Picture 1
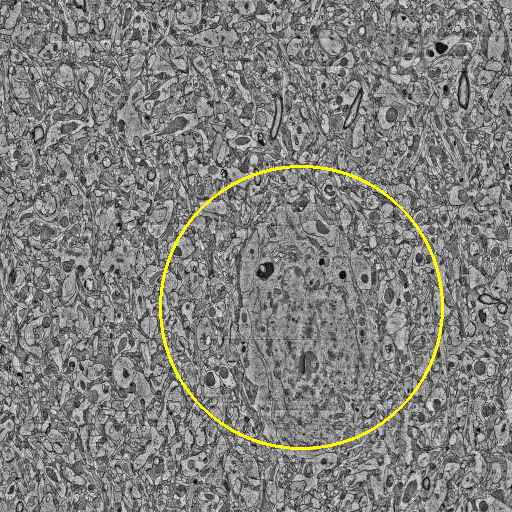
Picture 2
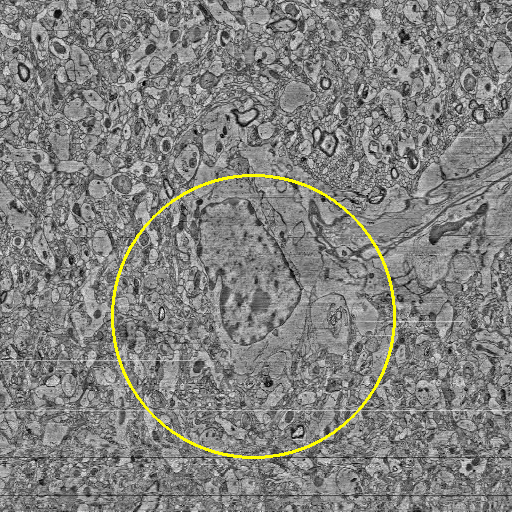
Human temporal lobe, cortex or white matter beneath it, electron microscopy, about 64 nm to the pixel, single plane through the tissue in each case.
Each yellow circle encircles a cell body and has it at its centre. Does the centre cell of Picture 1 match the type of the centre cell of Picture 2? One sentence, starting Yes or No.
No, the cell centred in Picture 1 and the one in Picture 2 have separate types.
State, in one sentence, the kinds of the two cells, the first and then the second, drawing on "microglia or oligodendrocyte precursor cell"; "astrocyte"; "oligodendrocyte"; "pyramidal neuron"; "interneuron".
The ring in the second picture is centred on a microglial cell or oligodendrocyte precursor cell, the ring in the first on an interneuron.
